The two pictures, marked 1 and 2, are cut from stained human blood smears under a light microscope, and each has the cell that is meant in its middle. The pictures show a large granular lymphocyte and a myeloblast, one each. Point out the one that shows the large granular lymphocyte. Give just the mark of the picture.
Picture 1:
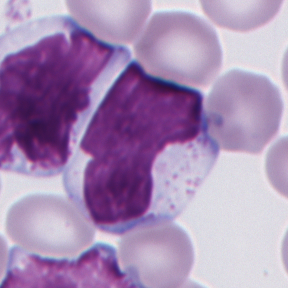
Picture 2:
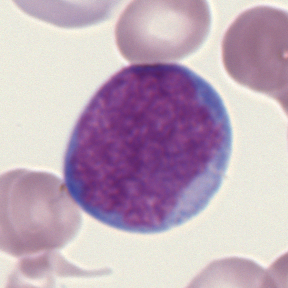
1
